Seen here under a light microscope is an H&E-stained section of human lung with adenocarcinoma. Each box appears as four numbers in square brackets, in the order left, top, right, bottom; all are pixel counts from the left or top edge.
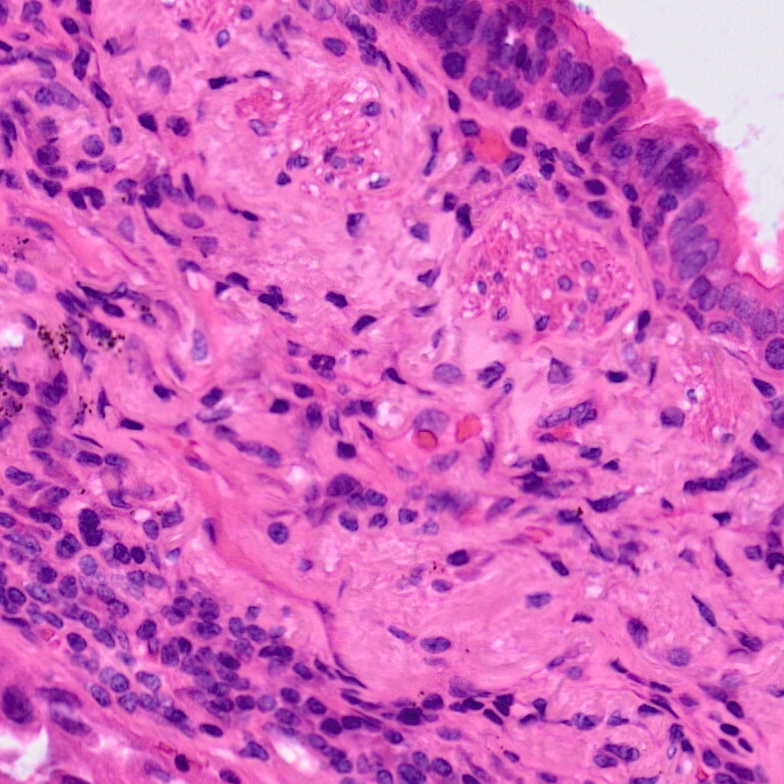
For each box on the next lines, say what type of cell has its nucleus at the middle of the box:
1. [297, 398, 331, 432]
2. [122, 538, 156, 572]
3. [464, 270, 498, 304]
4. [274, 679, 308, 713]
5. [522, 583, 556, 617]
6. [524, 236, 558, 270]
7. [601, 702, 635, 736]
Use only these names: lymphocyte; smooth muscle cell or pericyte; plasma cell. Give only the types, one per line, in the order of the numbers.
plasma cell
lymphocyte
smooth muscle cell or pericyte
lymphocyte
lymphocyte
smooth muscle cell or pericyte
lymphocyte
